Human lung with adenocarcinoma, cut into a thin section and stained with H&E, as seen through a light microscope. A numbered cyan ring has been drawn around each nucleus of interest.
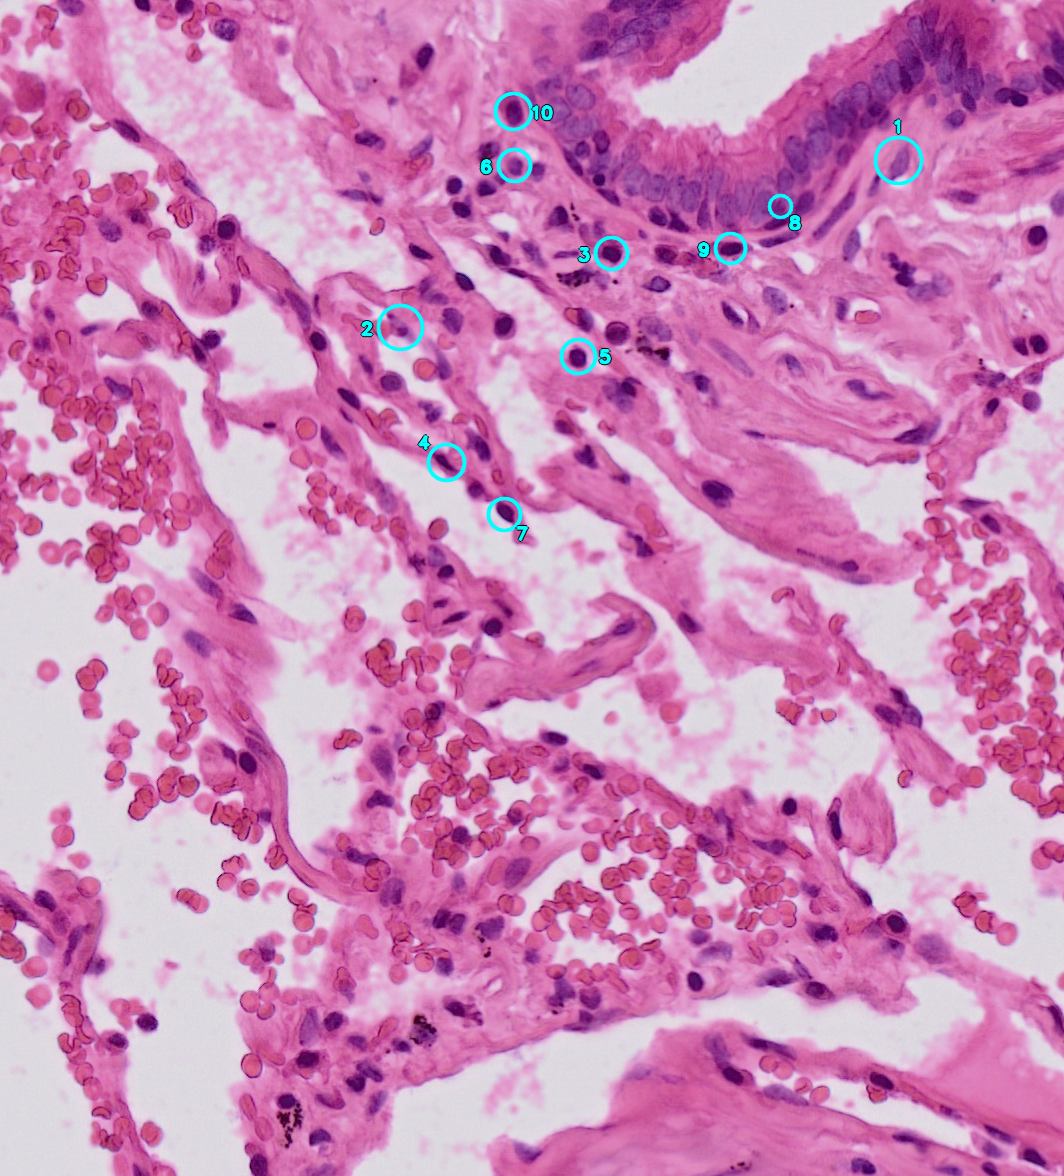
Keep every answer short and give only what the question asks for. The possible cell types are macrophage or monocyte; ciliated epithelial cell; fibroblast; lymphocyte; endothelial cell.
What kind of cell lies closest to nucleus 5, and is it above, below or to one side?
an endothelial cell; above nucleus 5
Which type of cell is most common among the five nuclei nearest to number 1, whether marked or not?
ciliated epithelial cell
